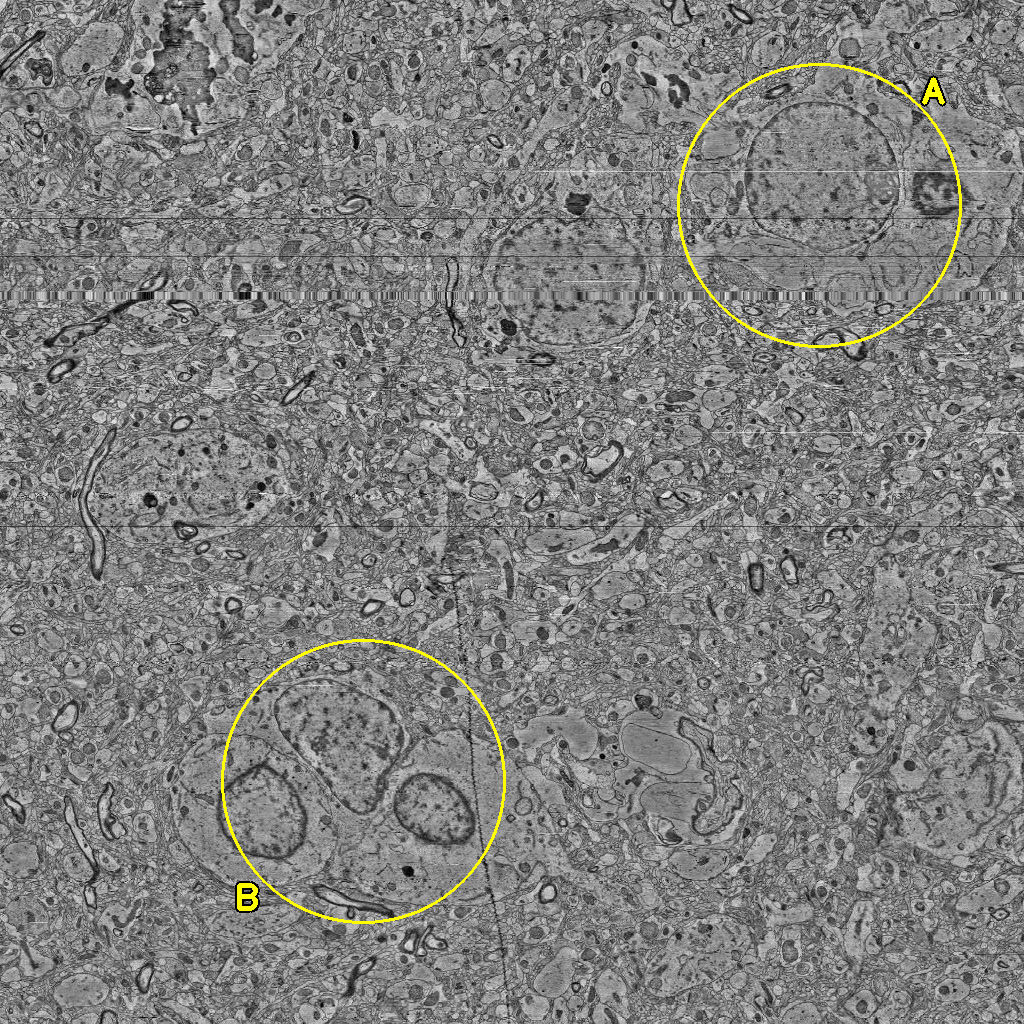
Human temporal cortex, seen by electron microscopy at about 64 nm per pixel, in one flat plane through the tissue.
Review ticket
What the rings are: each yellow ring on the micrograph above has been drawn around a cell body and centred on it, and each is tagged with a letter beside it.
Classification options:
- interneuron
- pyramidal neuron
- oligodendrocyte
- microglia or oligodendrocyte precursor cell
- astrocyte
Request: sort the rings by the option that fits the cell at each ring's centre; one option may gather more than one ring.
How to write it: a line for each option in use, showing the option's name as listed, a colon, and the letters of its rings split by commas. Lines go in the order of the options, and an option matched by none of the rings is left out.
microglia or oligodendrocyte precursor cell: B
astrocyte: A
